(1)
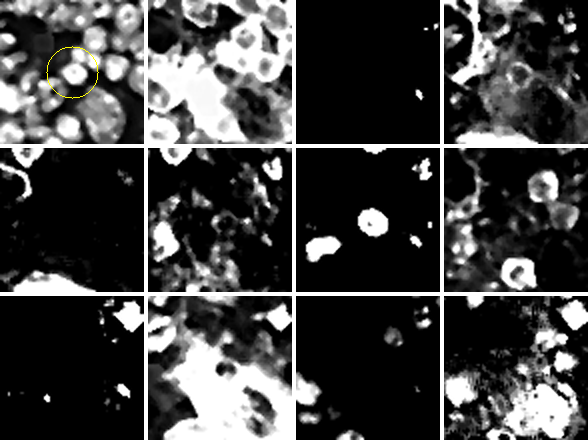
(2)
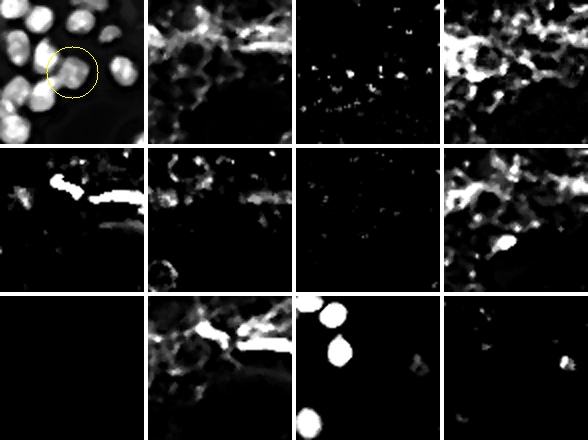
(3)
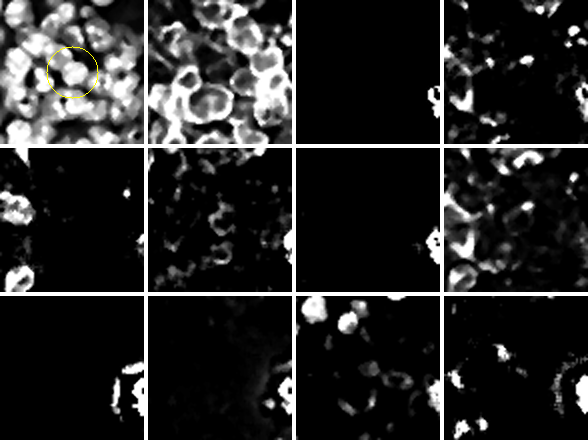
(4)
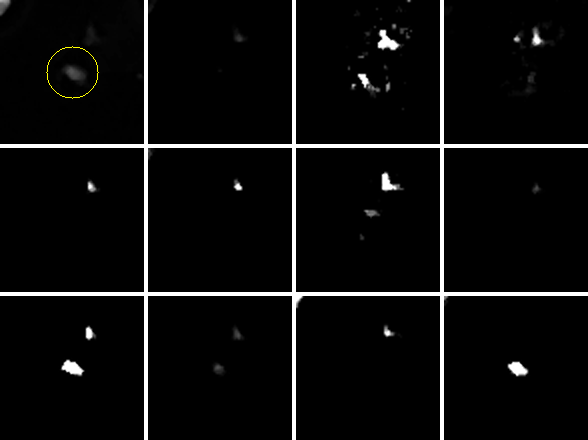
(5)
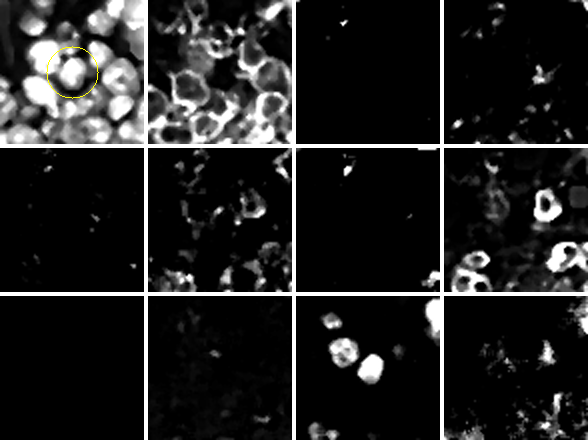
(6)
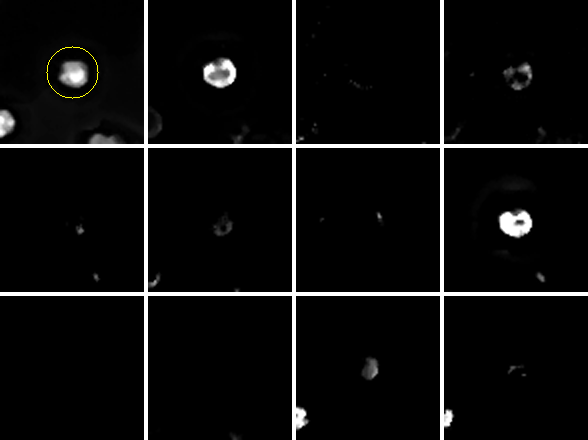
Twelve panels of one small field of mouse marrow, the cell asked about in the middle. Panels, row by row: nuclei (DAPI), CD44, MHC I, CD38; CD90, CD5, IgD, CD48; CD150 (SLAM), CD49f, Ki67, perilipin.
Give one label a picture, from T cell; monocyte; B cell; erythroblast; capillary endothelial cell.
(1) B cell
(2) capillary endothelial cell
(3) B cell
(4) T cell
(5) erythroblast
(6) monocyte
